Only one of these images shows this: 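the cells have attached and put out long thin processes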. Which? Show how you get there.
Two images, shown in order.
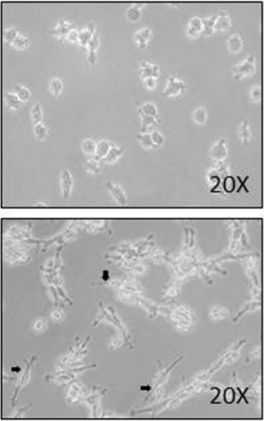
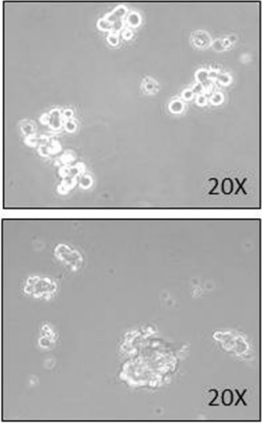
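Second image: round refractile cells in compact clusters and spheres, no processes. First image: flattened cells with long slender processes forming a network in the lower image. On this evidence: the first image.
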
